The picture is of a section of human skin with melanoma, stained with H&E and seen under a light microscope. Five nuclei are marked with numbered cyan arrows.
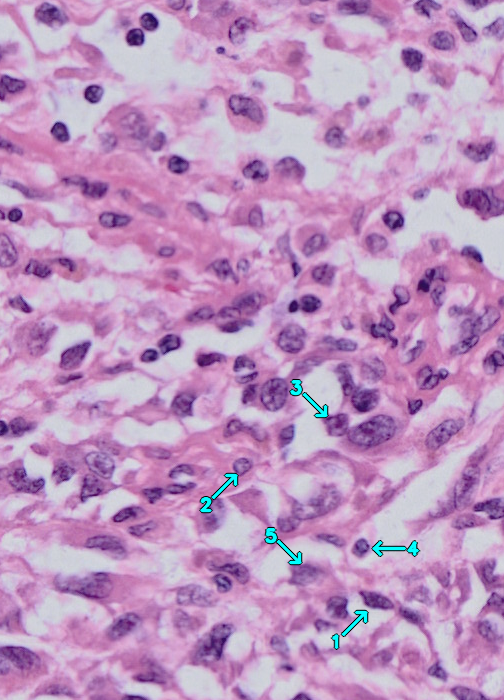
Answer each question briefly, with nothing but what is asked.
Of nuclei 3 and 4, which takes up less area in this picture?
4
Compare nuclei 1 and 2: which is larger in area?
1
